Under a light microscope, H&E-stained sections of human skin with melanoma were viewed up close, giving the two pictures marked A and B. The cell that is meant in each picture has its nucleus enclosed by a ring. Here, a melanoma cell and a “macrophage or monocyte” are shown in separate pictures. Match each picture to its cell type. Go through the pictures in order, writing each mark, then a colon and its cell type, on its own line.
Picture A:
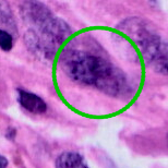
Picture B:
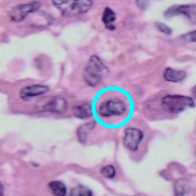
A: melanoma cell
B: macrophage or monocyte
